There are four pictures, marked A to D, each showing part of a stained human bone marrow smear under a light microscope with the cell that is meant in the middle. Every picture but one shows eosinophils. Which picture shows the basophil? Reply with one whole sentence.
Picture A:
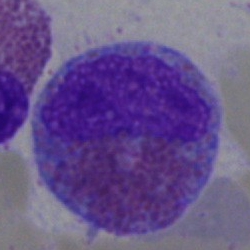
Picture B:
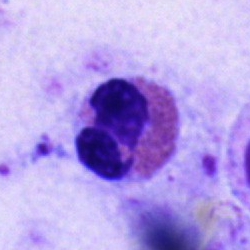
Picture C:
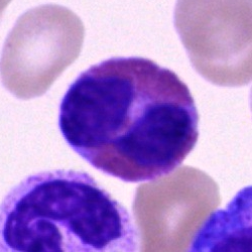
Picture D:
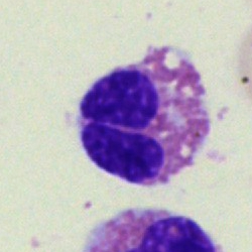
The cell in picture D is the basophil.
